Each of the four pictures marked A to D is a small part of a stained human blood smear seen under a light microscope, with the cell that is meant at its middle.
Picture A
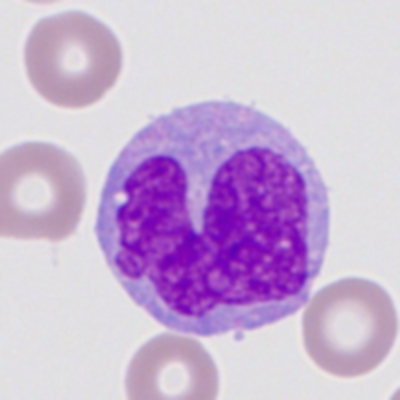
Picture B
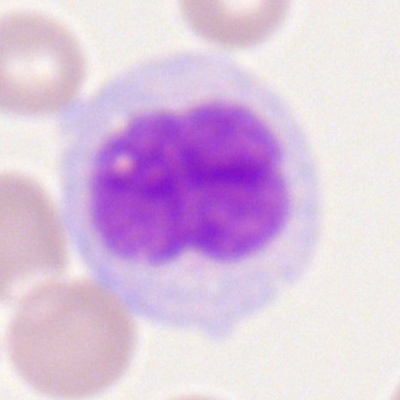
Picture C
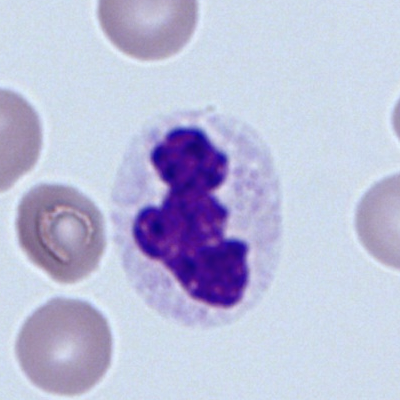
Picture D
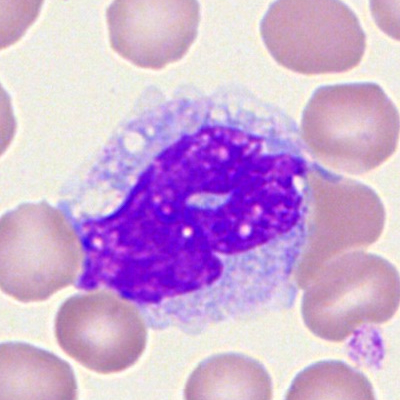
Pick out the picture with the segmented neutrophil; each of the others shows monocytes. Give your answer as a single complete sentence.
The picture with the segmented neutrophil is C.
